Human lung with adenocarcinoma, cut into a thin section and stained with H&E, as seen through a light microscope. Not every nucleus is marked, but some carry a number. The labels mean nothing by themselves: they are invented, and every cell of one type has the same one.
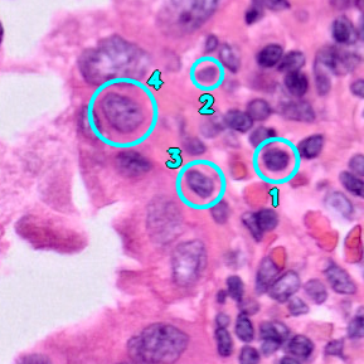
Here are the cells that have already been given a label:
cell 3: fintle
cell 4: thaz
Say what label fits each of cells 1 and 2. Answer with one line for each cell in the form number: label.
1: fintle
2: fintle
